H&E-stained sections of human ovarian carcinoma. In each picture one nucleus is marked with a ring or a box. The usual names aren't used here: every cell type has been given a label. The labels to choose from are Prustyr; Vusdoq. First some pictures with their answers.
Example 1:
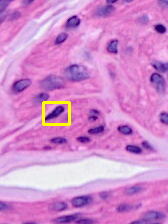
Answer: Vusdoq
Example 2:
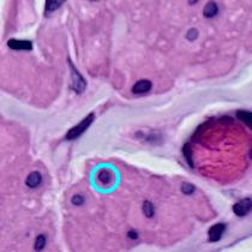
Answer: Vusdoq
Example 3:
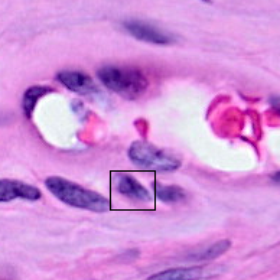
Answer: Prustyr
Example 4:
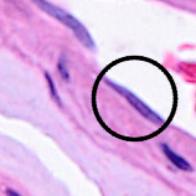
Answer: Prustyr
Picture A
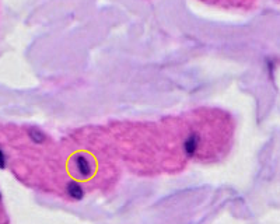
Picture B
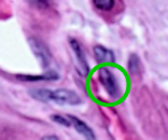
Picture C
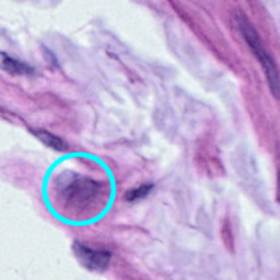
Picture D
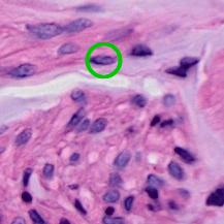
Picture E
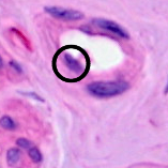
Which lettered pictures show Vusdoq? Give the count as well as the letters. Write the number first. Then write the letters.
2, namely A, D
